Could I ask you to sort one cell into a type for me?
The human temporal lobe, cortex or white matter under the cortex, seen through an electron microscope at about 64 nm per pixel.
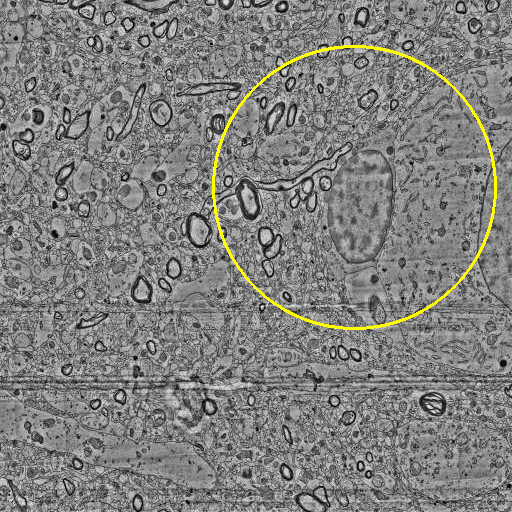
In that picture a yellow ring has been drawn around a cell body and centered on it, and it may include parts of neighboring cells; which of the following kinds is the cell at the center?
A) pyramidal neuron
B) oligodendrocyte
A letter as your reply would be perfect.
B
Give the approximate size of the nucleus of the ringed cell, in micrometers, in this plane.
Roughly 7 micrometres long and 4 micrometres wide; in this plane the nucleus is clearly longer than it is wide.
